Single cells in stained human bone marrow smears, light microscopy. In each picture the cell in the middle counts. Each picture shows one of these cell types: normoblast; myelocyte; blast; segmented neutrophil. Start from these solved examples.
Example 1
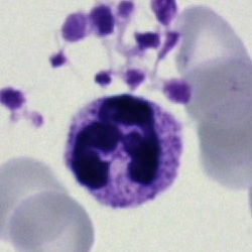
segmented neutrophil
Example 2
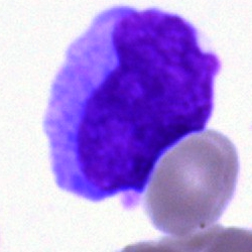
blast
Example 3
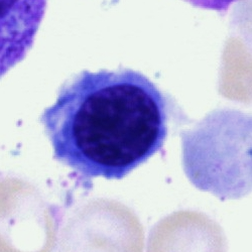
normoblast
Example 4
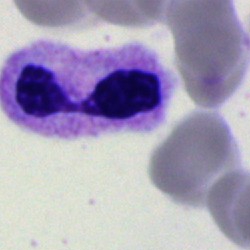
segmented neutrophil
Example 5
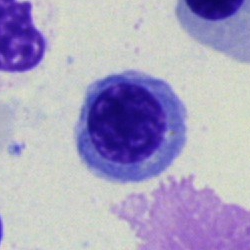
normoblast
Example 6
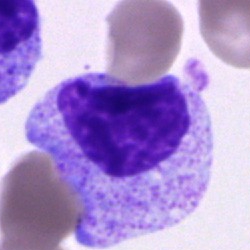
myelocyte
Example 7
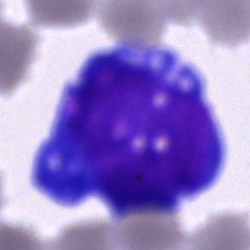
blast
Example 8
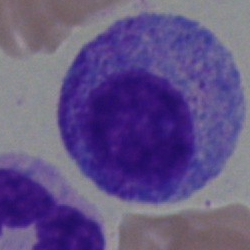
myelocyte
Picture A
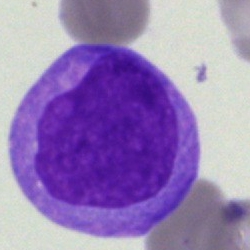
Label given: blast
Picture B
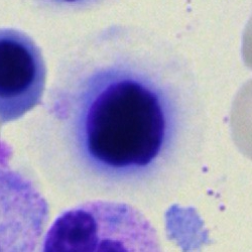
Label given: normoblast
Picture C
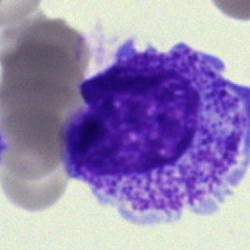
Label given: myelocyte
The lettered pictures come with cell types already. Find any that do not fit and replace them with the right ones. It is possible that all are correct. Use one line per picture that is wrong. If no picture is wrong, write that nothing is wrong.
All labels are correct.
